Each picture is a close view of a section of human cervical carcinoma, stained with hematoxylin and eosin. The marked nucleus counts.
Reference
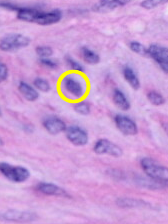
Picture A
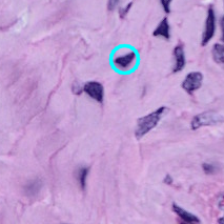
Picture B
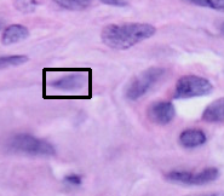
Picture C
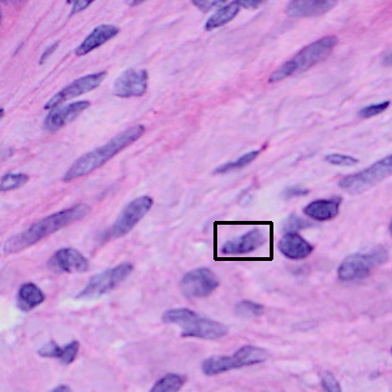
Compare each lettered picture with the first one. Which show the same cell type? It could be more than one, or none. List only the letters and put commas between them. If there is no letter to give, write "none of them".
none of them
